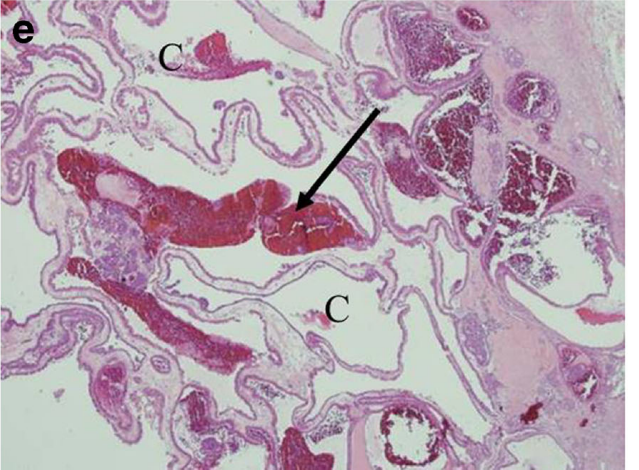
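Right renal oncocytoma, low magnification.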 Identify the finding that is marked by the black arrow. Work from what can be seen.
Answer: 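The black arrow points to dense, bright red material lying inside a space. Similar red material fills several other spaces nearby. On this evidence: haemorrhage.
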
